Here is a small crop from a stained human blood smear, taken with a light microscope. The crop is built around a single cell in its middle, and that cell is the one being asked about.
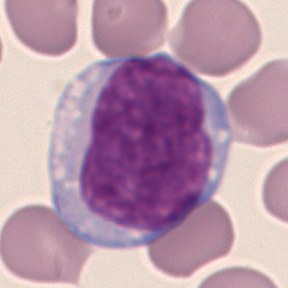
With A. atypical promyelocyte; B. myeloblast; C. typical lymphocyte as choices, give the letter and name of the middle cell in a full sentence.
The correct option, B, names the middle cell as a myeloblast.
